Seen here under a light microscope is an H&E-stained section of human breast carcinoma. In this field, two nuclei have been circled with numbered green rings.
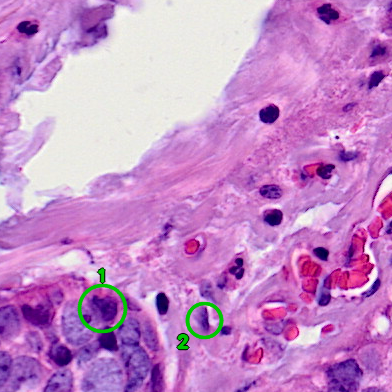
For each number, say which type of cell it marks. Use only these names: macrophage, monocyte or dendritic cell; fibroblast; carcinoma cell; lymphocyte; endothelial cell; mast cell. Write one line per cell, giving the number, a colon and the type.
1: carcinoma cell
2: fibroblast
